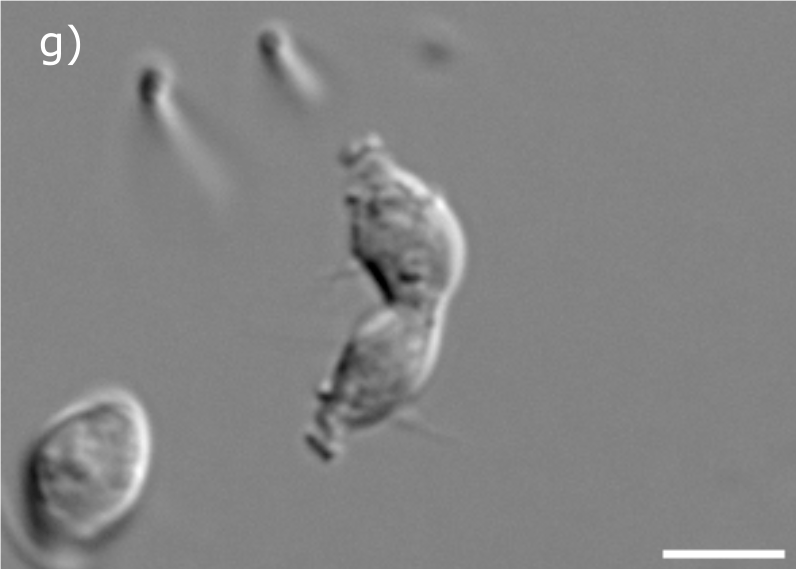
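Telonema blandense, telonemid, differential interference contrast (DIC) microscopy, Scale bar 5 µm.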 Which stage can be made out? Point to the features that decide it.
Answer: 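Two similar oval cells lie end to end, joined by a narrow neck. The pair looks like one body constricted in the middle. The answer: last stages of division.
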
